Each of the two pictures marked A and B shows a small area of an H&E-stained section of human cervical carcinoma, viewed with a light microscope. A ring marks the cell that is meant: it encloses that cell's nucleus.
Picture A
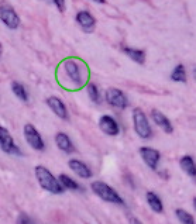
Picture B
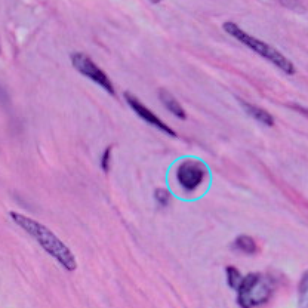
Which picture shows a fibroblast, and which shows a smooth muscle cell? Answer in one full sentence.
It is picture A that shows a smooth muscle cell, and picture B that shows a fibroblast.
